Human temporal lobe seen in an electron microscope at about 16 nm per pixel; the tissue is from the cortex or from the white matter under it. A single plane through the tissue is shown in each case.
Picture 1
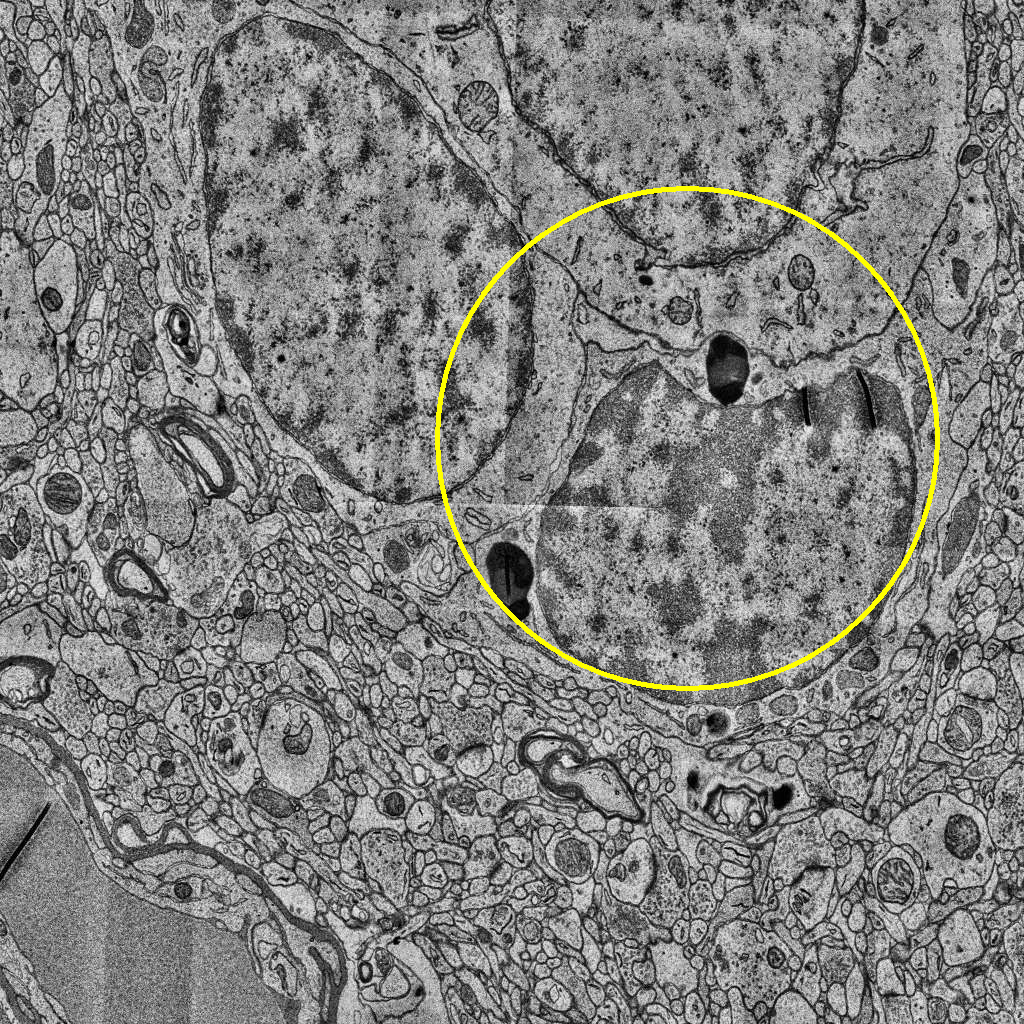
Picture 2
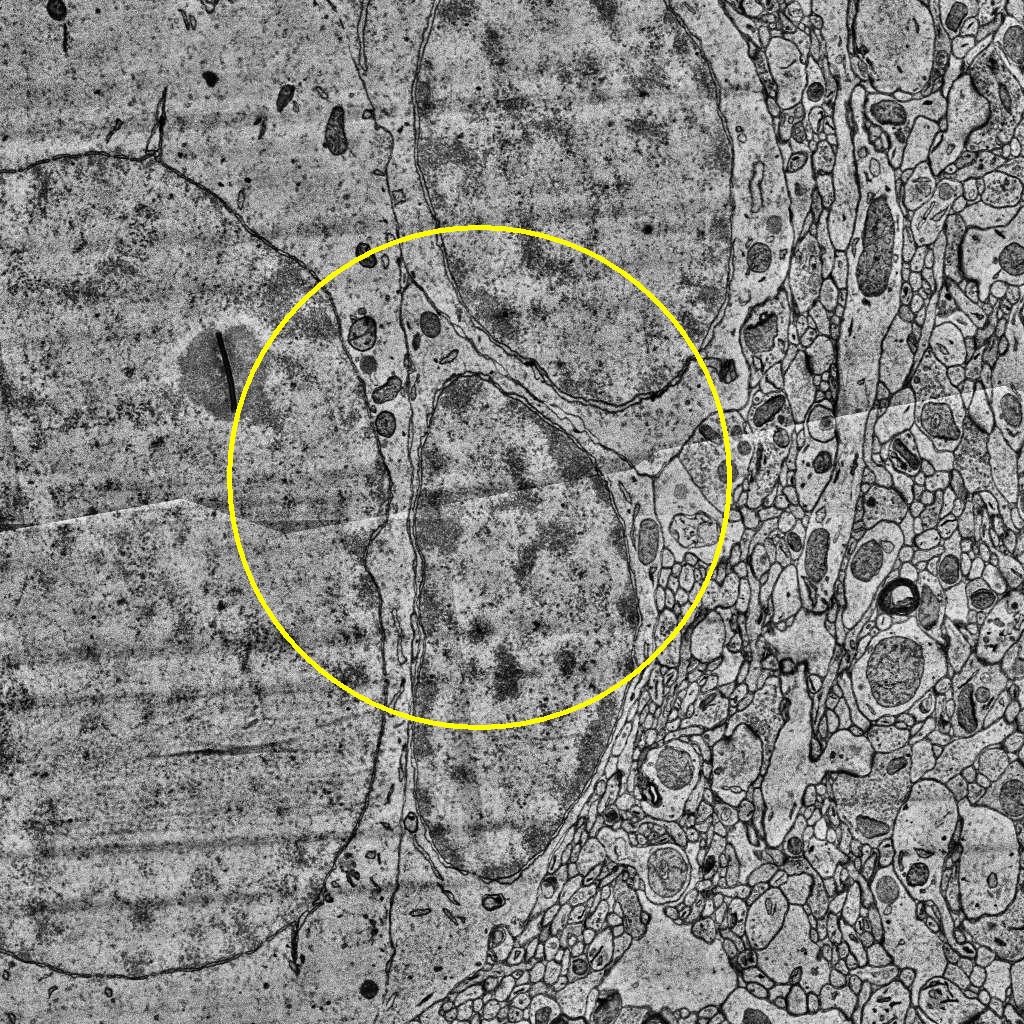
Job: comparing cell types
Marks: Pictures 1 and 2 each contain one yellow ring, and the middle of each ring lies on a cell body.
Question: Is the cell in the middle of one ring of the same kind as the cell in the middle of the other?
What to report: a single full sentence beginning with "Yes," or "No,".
Yes, the cell at the ring centre in Picture 1 and its partner in Picture 2 are of one kind.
